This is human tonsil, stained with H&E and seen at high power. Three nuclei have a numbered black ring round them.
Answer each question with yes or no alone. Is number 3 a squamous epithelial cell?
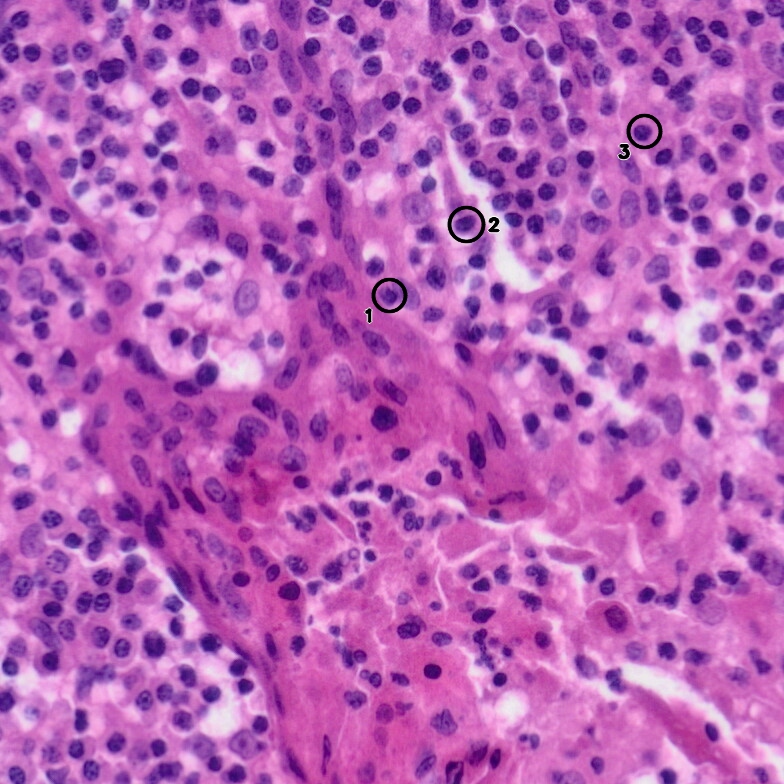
no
